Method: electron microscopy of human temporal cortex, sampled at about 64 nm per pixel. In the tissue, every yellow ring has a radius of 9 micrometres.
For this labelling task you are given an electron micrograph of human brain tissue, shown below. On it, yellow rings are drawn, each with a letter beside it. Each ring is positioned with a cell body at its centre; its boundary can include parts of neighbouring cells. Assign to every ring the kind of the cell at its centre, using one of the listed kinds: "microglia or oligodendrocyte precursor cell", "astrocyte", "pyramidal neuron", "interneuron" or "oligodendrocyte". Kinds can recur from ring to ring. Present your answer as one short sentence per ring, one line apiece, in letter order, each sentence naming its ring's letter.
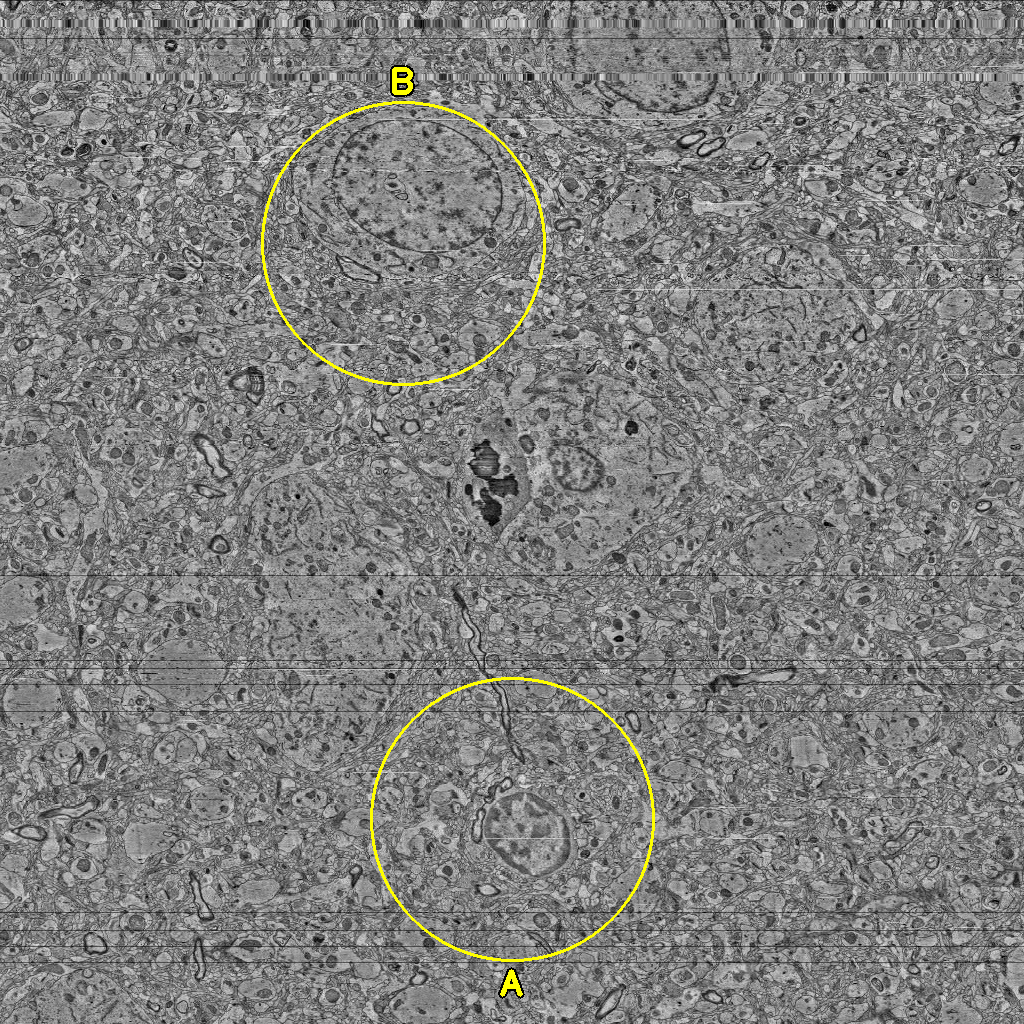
The cell in the middle of ring A is an oligodendrocyte.
The cell in the middle of ring B is a pyramidal neuron.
